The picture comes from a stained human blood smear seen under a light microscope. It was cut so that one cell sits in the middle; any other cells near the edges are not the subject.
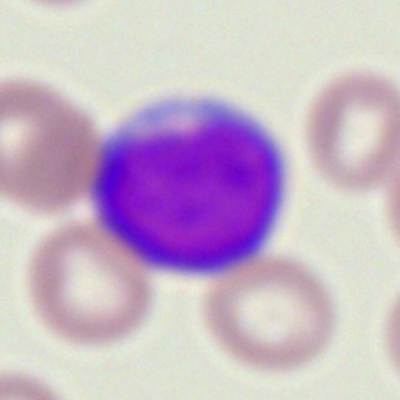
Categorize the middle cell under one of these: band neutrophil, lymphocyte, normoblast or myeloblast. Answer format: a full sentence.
The centered cell in this crop is a myeloblast.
